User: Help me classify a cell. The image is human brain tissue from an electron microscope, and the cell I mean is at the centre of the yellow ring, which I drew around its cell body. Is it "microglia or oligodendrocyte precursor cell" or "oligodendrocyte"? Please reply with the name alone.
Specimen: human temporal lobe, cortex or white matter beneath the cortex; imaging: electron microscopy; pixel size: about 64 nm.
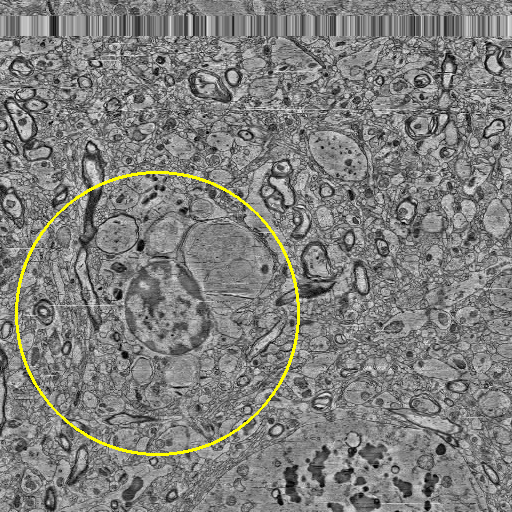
microglia or oligodendrocyte precursor cell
